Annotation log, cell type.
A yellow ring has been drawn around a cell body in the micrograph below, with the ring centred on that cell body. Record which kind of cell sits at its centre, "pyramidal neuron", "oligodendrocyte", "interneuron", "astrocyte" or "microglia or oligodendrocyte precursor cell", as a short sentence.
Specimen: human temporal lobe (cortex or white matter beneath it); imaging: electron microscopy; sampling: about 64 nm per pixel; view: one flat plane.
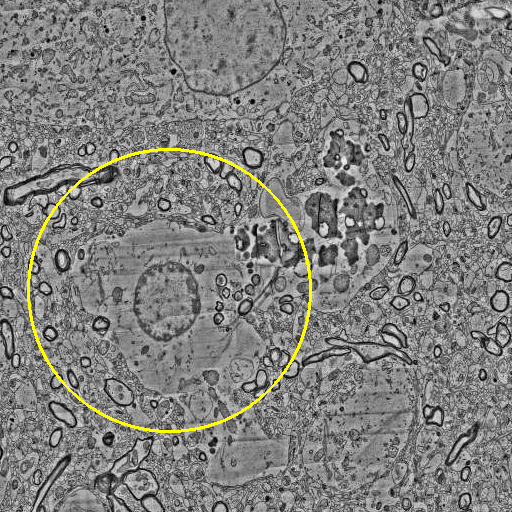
The cell at the centre of this ring is an astrocyte.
